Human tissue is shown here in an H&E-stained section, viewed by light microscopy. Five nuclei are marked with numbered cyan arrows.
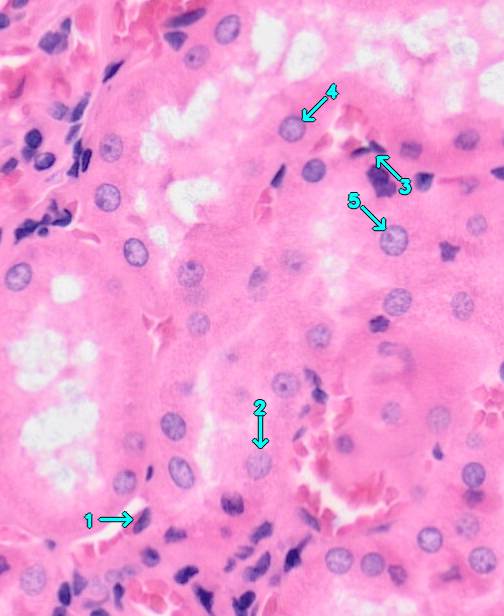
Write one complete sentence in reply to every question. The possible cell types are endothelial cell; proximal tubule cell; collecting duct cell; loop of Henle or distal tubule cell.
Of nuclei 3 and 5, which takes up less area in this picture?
The smaller nucleus is 3, and 5 covers roughly 2 times its area.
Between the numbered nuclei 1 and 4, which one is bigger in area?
The larger nucleus is 4, at roughly 2 times the area of 1.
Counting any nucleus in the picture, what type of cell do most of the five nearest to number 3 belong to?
Most of the five nuclei nearest to number 3 are those of proximal tubule cells.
